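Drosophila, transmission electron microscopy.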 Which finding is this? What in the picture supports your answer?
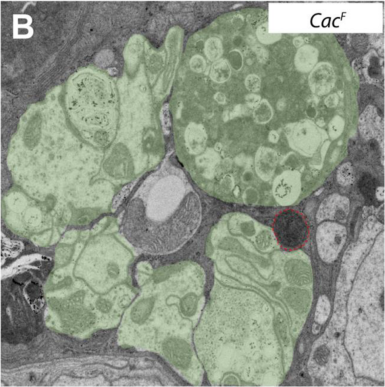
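One green-shaded profile is far larger than its neighbours. The enlarged profile is packed with membrane-bound vacuoles and whorls. A small dark, electron-dense profile lies beside the terminals. On this evidence: expansion and degenerative changes.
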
